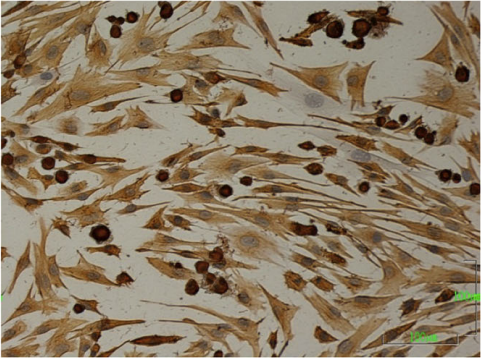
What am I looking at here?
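Cultured cells with brown-stained cytoplasm and pale blue oval nuclei, lying on a light background. Most are elongated, spindle-shaped or stellate with tapering processes, many aligned in roughly parallel streams. Scattered among them are small rounded cells stained dark brown throughout. Gaps of unoccupied background lie between the cells.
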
